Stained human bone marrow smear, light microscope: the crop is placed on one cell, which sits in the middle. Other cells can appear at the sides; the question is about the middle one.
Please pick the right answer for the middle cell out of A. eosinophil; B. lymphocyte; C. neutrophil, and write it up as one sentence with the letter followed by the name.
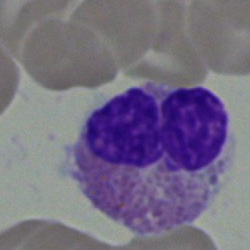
The correct option, A, names the middle cell as an eosinophil.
